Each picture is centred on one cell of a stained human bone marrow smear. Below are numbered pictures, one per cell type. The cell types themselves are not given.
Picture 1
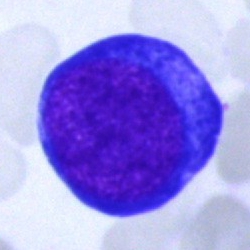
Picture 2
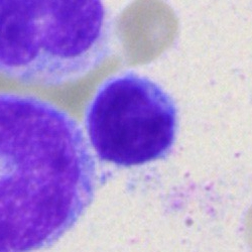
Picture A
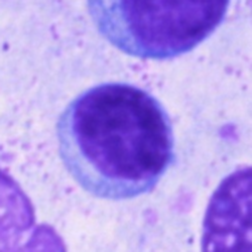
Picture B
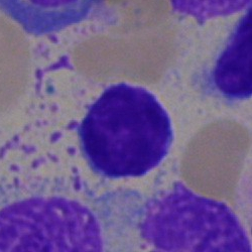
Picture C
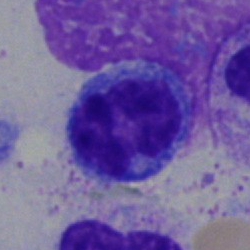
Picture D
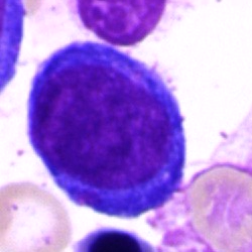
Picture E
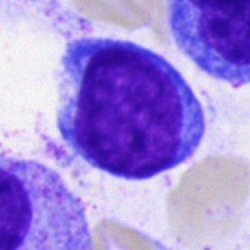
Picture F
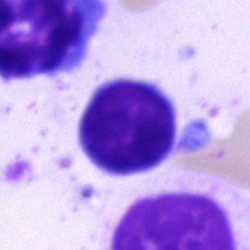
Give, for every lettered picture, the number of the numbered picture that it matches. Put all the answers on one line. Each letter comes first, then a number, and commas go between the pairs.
A 2, B 2, C 2, D 1, E 2, F 2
